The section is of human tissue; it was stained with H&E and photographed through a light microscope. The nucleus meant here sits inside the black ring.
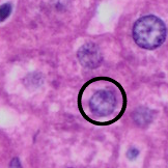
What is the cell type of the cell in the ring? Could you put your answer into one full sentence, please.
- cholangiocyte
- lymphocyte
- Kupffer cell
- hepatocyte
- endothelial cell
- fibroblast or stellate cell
Typologically, the cell in the ring is a hepatocyte in this section.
